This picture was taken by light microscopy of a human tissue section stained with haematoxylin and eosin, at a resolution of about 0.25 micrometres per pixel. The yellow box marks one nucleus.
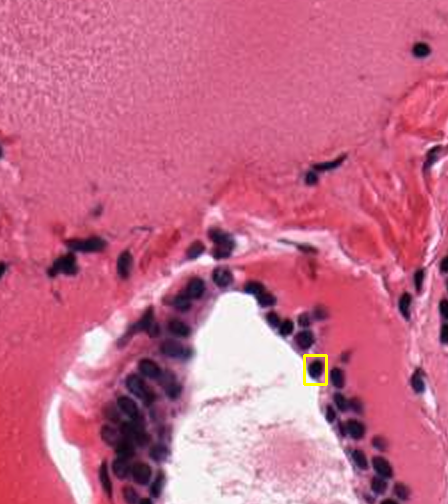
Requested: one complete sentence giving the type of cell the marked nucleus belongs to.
The nucleus singled out by the mark belongs to a thyroid follicular cell.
